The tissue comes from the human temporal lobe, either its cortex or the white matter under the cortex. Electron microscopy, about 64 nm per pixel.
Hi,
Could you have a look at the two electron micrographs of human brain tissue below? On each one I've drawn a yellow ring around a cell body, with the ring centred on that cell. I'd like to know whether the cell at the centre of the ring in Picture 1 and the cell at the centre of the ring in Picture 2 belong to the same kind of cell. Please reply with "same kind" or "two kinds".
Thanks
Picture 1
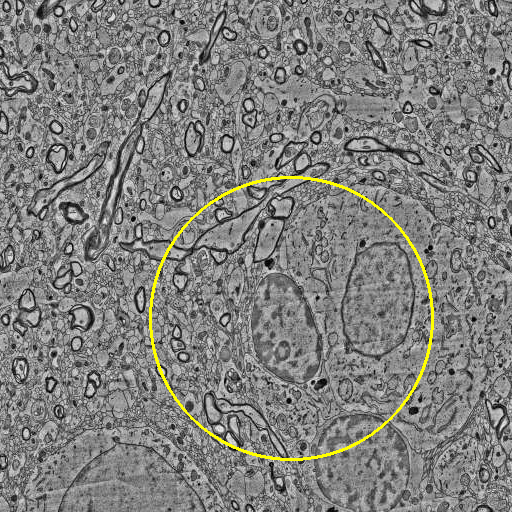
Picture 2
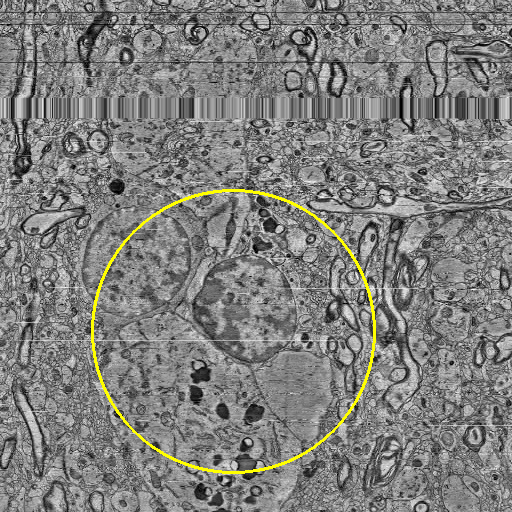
same kind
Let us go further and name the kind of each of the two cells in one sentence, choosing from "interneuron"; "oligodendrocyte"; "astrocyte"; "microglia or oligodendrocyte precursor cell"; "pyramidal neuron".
Both the first and the second picture show a microglial cell or oligodendrocyte precursor cell in the ring.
